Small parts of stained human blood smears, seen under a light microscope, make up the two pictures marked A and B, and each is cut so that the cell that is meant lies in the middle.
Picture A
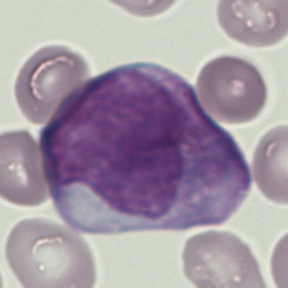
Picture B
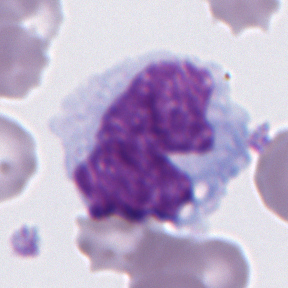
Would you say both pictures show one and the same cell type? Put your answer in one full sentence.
No; the cell in picture A is an atypical promyelocyte, while the one in picture B is a monocyte.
